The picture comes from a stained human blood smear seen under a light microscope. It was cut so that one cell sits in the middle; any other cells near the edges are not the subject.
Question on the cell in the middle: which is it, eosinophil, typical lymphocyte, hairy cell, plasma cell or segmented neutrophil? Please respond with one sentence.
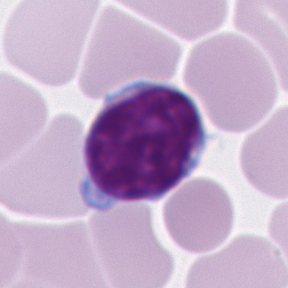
The cell in the exact centre of the crop is a typical lymphocyte.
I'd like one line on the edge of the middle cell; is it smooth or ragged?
A smooth outline is absent here, replaced by ragged stretches or projections.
